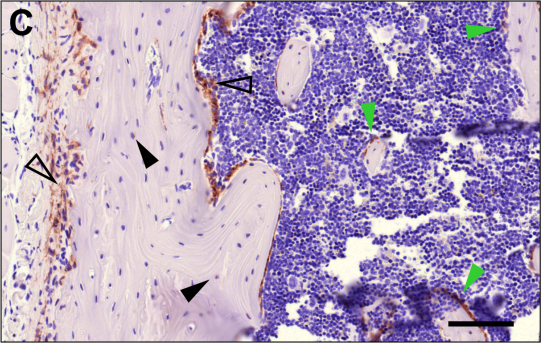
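Cortical bone with adjacent marrow, showing bone-lining osteoblastic cells and osteocytes. Small nuclei of osteocytes lie in lacunae scattered through the pale matrix. The marrow to the right is packed with small round blue hematopoietic cells, with thin brown-lined bone spicules.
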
